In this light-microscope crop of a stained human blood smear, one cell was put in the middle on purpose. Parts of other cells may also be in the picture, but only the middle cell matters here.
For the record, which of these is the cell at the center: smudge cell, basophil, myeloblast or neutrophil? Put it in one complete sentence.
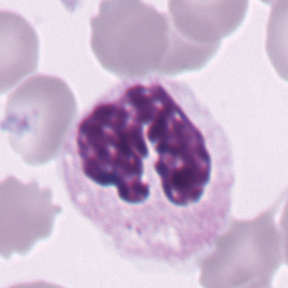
In the central position of this crop, the cell is a neutrophil.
